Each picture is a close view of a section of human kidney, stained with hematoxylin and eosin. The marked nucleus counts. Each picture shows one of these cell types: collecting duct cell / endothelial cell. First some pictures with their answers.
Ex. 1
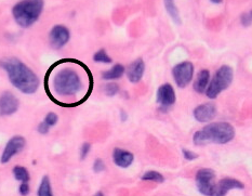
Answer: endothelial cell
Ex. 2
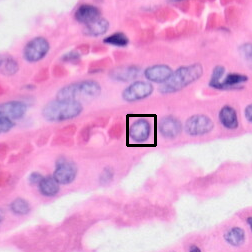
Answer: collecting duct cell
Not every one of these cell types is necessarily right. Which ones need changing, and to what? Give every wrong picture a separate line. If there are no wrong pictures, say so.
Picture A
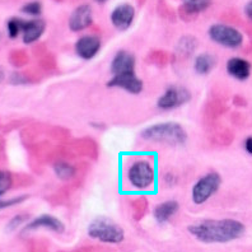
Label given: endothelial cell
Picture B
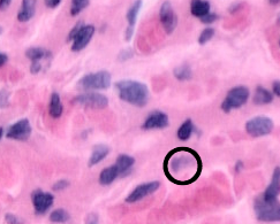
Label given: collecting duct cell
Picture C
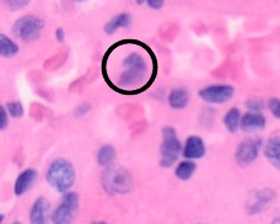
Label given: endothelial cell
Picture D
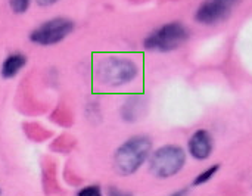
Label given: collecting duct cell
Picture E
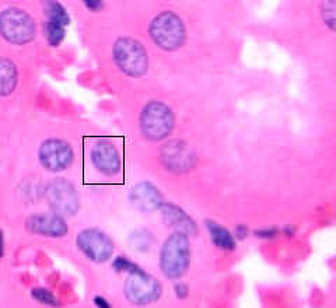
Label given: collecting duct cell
B should be endothelial cell, not collecting duct cell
